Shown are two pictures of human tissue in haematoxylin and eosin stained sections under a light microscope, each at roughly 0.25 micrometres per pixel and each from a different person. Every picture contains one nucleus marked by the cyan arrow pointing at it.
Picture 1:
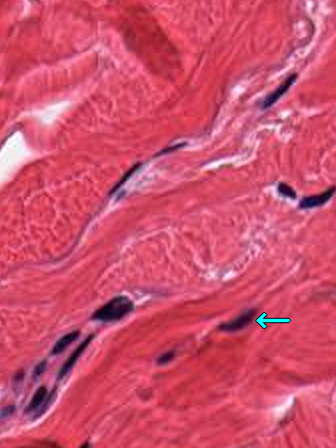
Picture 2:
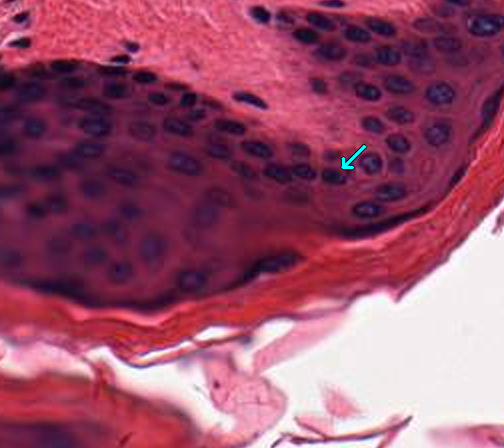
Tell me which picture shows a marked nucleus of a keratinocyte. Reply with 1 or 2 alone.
2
